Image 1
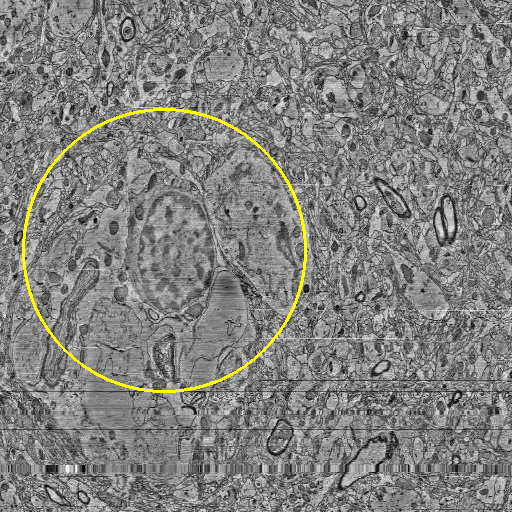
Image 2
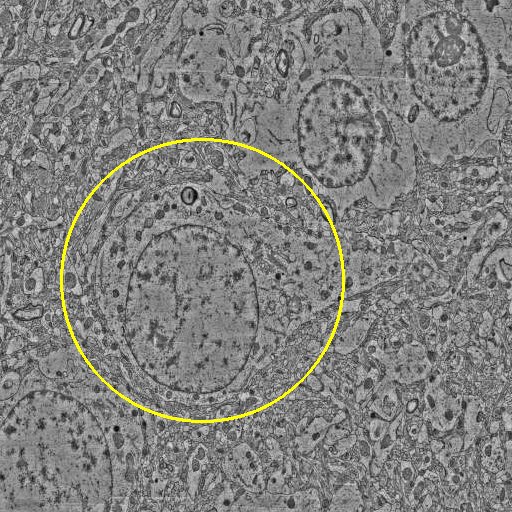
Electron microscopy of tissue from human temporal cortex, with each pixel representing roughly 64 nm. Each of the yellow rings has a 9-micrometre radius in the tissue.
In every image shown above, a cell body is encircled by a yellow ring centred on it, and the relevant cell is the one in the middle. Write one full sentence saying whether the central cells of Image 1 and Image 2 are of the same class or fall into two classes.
The cell at the ring's centre in Image 1 and its counterpart in Image 2 fall into two classes.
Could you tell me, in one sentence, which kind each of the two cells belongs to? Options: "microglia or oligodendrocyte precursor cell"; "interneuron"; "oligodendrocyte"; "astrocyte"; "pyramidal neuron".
At the centre of the first ring sits an oligodendrocyte, and at the centre of the second sits a pyramidal neuron.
